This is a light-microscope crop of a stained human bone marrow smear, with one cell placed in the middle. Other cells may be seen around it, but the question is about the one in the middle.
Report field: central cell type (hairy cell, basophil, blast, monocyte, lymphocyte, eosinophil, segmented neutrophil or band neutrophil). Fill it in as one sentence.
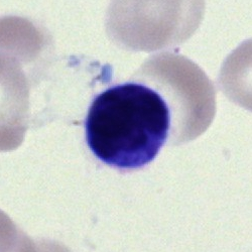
The cell of interest, located centrally, is a lymphocyte.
